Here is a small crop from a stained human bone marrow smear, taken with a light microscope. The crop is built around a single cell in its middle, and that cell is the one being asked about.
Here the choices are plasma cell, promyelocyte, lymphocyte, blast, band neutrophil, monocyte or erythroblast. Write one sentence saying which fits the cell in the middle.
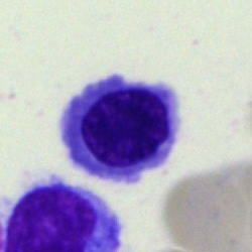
In the middle of this smear crop is an erythroblast.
